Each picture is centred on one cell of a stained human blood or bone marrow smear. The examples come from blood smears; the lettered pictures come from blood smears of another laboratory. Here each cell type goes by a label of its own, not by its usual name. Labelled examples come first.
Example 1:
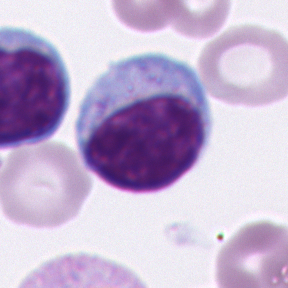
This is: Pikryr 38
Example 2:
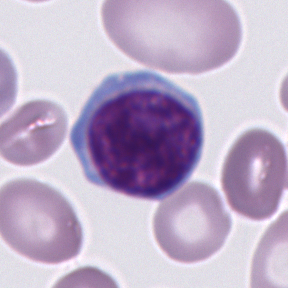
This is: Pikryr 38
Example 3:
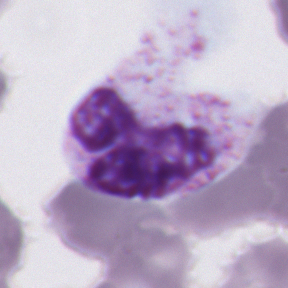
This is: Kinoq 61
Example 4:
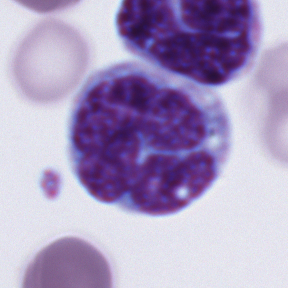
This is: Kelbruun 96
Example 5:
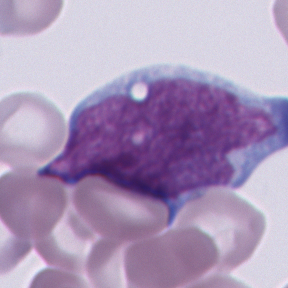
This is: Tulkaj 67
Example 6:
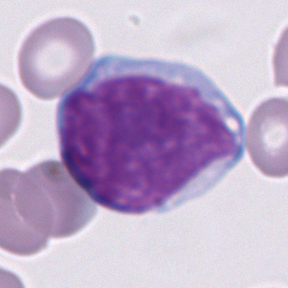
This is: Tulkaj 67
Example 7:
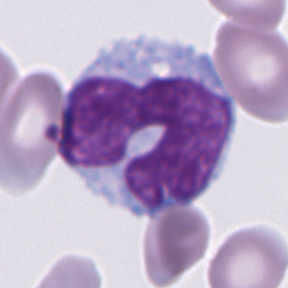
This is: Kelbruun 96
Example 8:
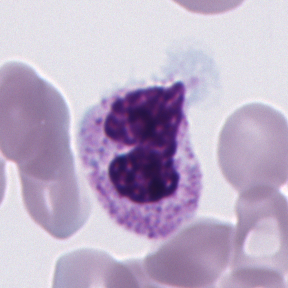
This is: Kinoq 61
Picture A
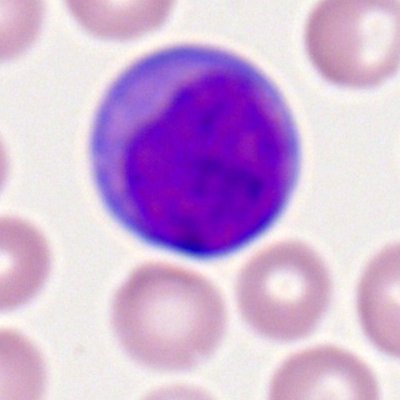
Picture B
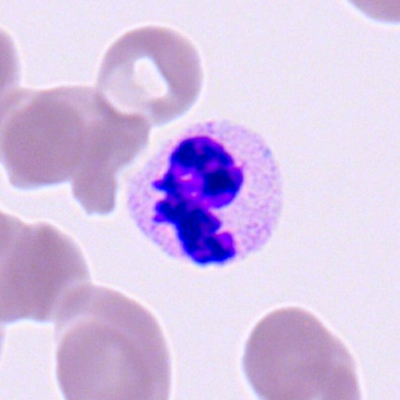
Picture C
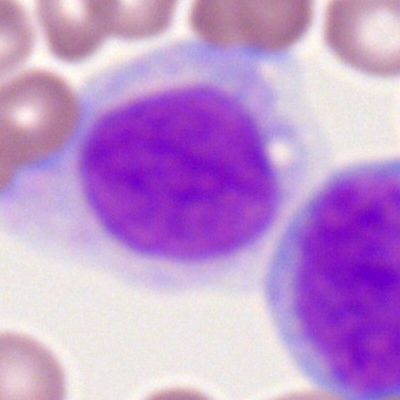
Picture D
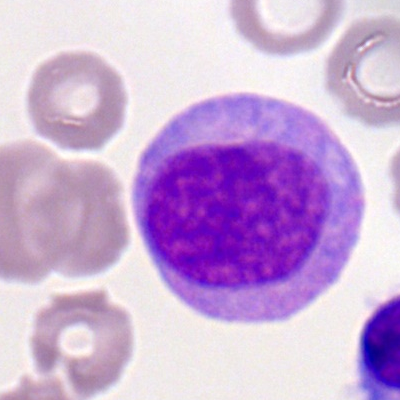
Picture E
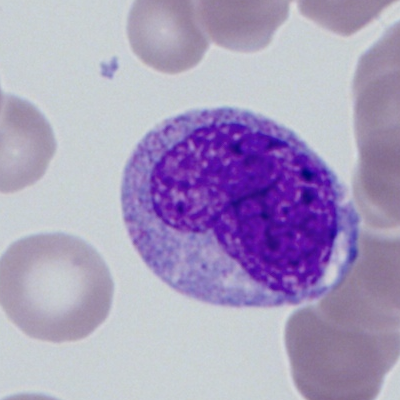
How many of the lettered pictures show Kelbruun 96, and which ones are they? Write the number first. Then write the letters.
Count: 3 (C, D, E)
